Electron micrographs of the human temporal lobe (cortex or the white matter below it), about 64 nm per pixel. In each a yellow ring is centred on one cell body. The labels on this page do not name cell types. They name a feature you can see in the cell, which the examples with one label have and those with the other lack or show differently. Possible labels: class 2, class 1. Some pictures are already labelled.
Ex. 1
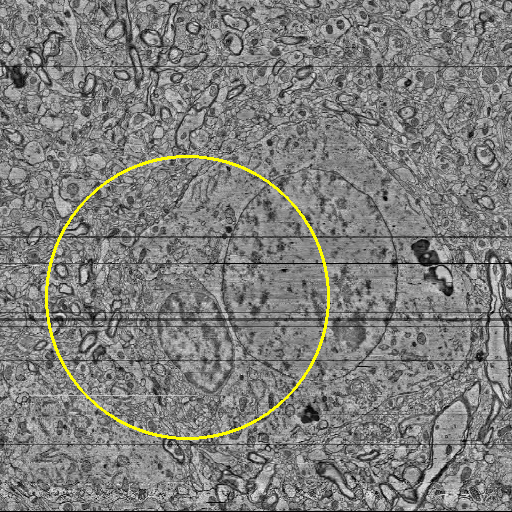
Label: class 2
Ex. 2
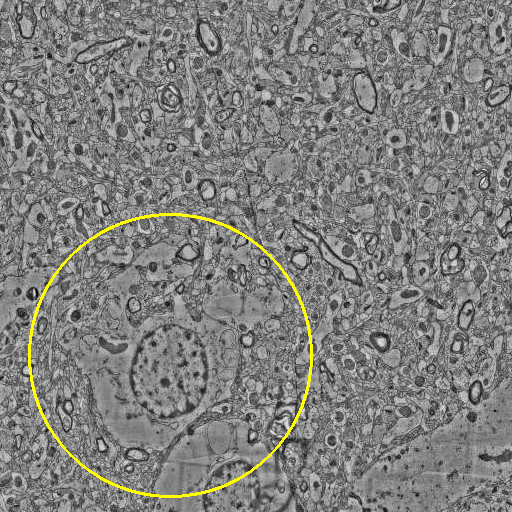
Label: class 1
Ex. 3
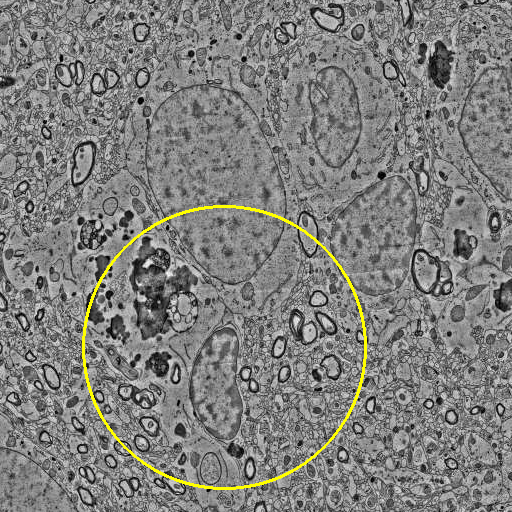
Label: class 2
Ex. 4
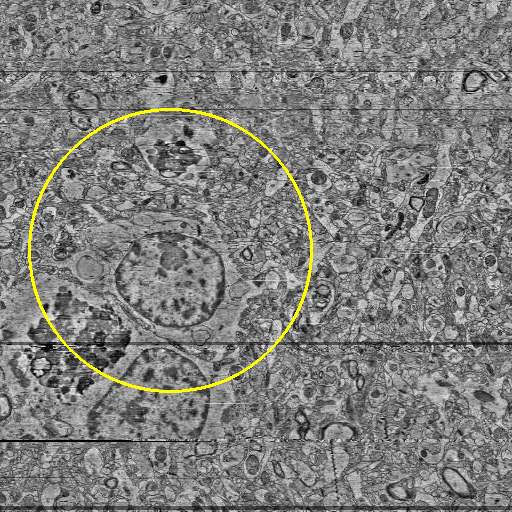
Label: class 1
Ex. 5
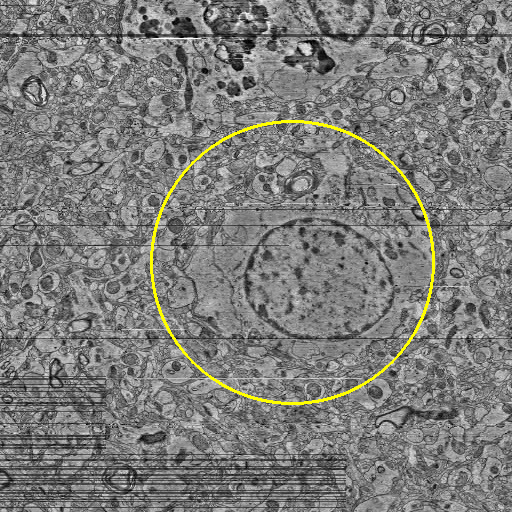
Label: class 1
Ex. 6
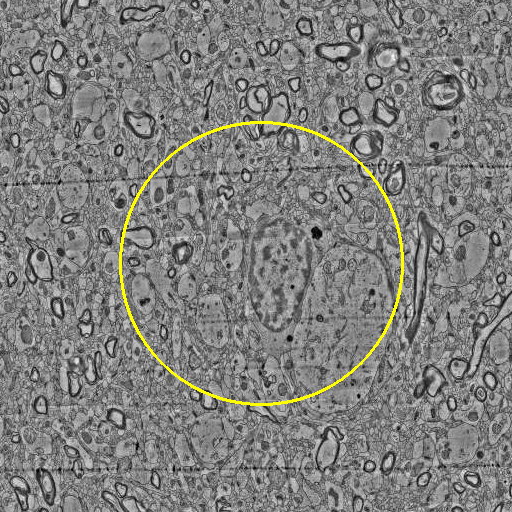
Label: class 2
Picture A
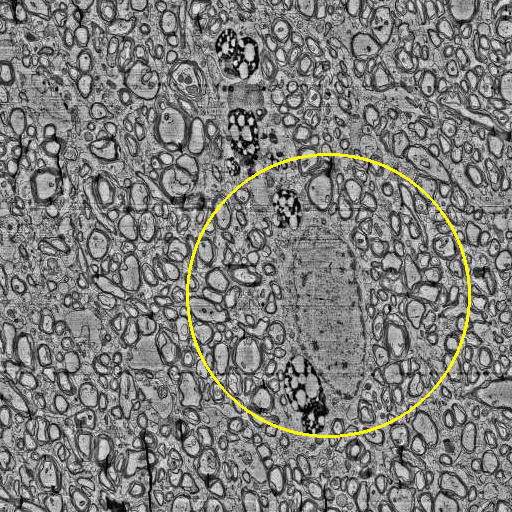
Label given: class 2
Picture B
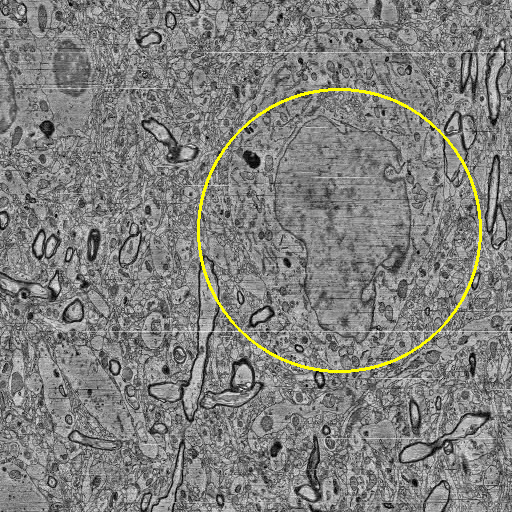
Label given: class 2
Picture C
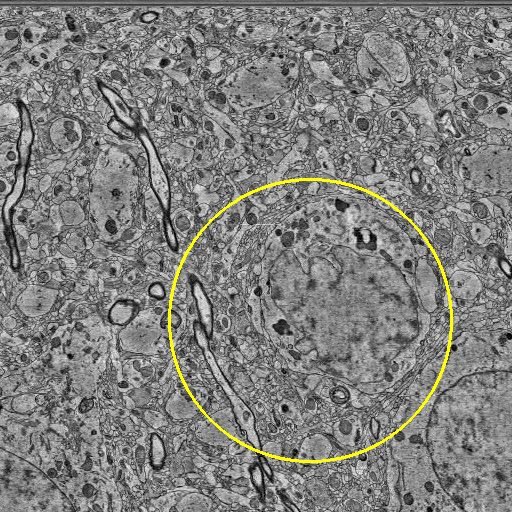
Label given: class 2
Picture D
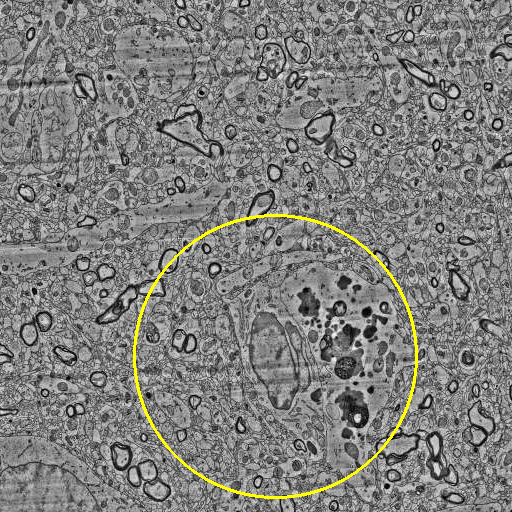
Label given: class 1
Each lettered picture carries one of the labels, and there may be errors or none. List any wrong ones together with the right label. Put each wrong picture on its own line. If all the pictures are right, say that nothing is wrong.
C: not class 2 but class 1
D: not class 1 but class 2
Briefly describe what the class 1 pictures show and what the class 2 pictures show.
In class 1: round or nearly round nuclei. In class 2: clearly elongated nuclei.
